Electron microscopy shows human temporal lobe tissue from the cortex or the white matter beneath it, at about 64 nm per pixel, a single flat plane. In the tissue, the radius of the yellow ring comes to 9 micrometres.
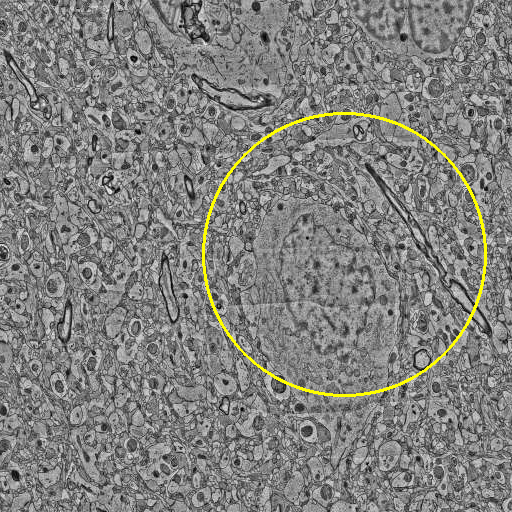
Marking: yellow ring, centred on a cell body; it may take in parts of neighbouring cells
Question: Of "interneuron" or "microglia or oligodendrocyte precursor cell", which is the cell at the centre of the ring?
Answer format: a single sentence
The ring surrounds the body of an interneuron.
